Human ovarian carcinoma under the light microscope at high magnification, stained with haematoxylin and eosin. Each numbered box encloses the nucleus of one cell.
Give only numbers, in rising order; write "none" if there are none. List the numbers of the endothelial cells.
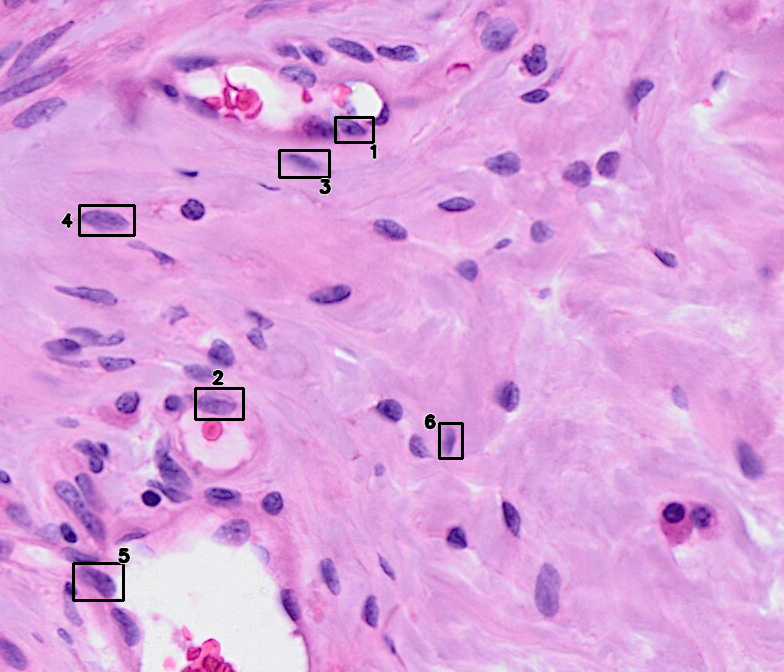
1, 2, 5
